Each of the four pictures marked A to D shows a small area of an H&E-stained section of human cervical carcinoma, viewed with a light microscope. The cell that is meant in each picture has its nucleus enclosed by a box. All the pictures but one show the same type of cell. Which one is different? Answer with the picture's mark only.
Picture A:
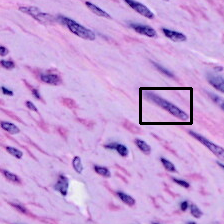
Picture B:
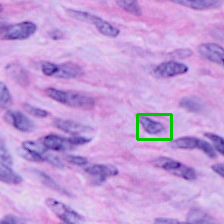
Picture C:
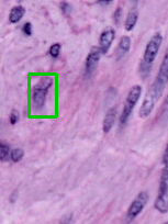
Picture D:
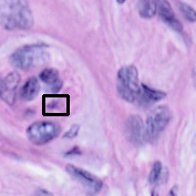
D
